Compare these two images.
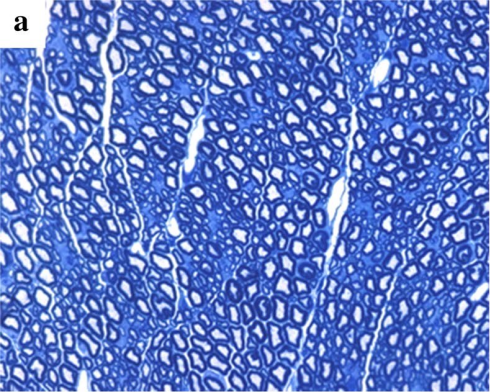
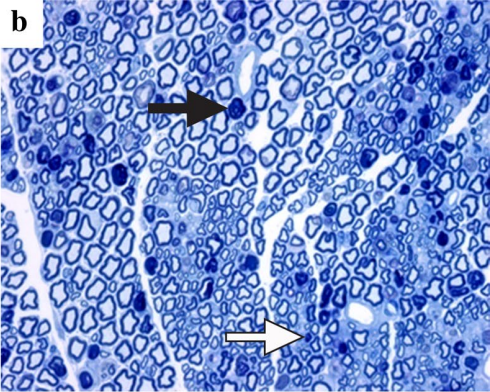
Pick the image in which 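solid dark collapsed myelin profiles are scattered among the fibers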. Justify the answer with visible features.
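Second image: many fibers appear as solidly dark blue blobs without a pale centre. First image: nearly all fibers show a pale axon centre within an even dark ring.
Answer: the second image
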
